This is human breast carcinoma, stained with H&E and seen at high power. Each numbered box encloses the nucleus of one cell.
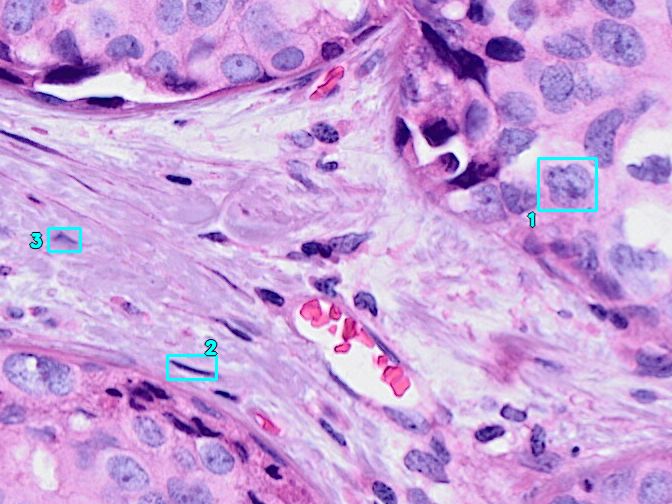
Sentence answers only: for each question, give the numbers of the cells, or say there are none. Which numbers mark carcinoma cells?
Being a carcinoma cell is true of cell 1 and of no other numbered cell.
